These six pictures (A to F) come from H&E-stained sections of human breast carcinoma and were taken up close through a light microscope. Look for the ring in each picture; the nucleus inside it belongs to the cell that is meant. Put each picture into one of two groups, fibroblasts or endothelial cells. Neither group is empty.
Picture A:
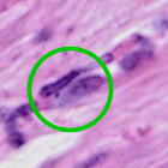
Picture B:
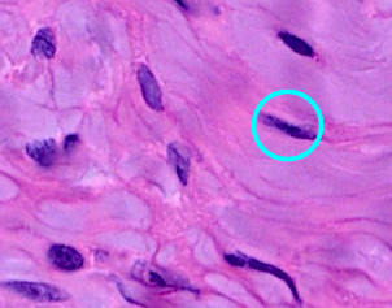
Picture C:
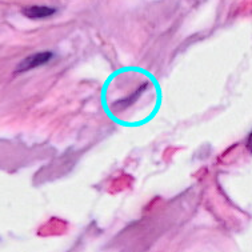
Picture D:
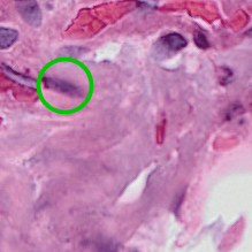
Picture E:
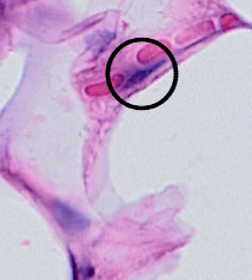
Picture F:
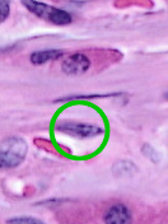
A: fibroblast
B: fibroblast
C: fibroblast
D: endothelial cell
E: endothelial cell
F: endothelial cell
